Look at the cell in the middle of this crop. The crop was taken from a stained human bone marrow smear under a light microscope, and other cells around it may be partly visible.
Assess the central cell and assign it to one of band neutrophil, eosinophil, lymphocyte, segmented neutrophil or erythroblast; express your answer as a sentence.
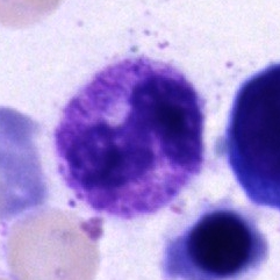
The cell the crop is centered on is a segmented neutrophil.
